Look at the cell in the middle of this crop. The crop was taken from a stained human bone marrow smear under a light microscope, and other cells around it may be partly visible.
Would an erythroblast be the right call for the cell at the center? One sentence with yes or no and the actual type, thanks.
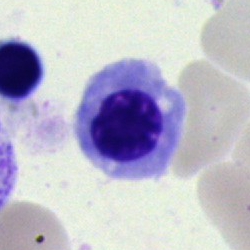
Yes, the cell that the crop is centered on is an erythroblast.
